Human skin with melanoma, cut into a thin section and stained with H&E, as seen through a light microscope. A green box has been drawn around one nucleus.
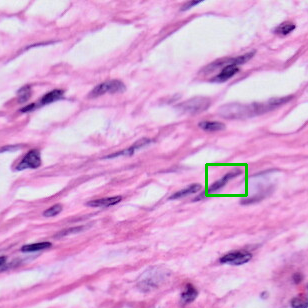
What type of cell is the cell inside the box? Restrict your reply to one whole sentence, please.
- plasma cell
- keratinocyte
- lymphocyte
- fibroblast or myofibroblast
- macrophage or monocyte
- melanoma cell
So far as cell type goes, the cell inside the box is a fibroblast or myofibroblast.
